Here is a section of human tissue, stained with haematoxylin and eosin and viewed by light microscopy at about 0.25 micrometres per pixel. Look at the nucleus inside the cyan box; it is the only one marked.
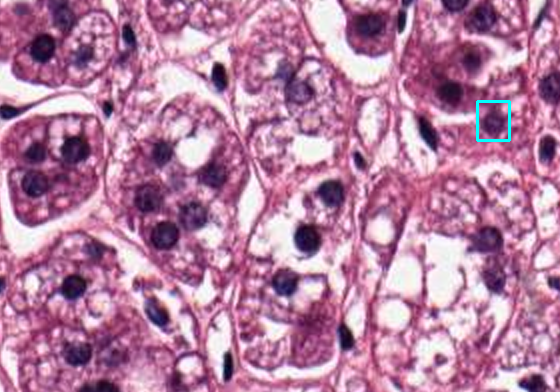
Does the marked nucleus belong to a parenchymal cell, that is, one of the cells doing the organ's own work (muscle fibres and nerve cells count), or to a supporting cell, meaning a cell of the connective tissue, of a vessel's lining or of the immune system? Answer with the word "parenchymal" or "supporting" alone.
parenchymal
